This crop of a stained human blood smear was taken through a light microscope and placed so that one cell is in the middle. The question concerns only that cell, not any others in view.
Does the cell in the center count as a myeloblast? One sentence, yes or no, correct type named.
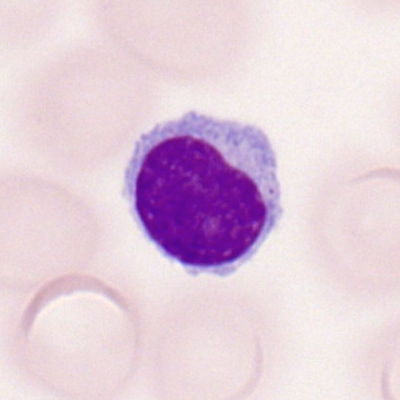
No, at the centre of this crop is found a lymphocyte instead of a myeloblast.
